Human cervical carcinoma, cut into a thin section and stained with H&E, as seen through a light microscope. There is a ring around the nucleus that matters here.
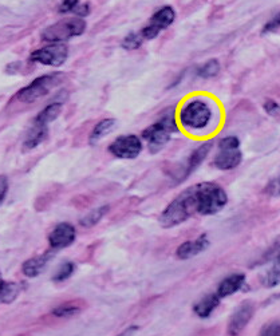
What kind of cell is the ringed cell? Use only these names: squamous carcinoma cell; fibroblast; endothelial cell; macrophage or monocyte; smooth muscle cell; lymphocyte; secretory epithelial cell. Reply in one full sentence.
The correct response here is that the ringed cell is a lymphocyte.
